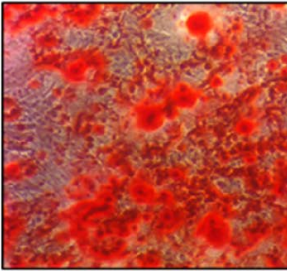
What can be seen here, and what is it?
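The red material forms rounded nodules of varying size, some small and discrete, others merging into large confluent patches. The deposits cover most of the field, largely obscuring the underlying cells.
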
